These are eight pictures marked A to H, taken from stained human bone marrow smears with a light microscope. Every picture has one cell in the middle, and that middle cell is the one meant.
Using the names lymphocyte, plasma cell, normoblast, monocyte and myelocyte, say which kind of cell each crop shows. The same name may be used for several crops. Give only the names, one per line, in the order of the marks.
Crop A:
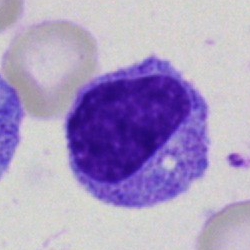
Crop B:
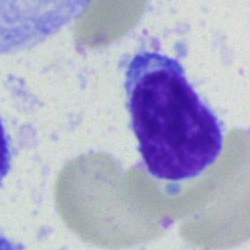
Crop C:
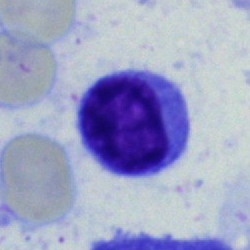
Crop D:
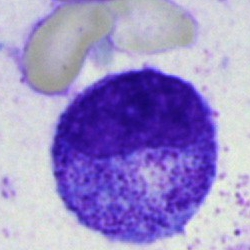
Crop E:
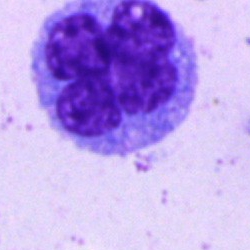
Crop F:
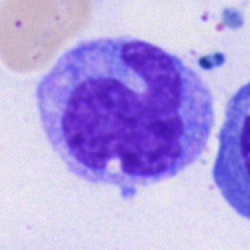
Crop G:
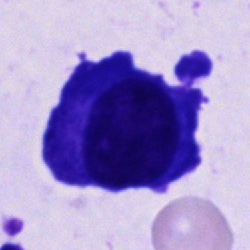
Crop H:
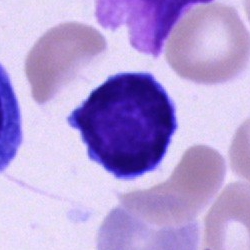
myelocyte
lymphocyte
lymphocyte
myelocyte
monocyte
monocyte
plasma cell
lymphocyte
